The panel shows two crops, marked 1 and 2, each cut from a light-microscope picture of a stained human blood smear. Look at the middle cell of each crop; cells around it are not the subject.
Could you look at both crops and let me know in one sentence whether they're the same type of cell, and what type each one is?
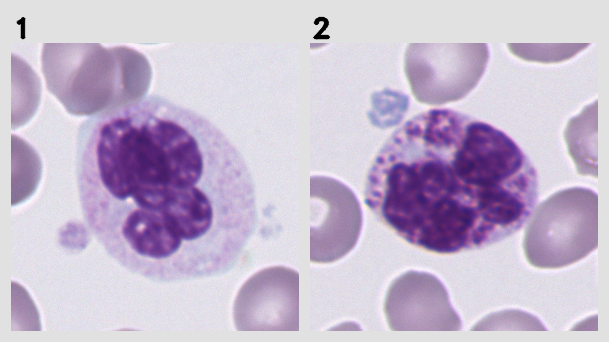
No, the cells are a segmented neutrophil in crop 1 and a basophil in crop 2.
